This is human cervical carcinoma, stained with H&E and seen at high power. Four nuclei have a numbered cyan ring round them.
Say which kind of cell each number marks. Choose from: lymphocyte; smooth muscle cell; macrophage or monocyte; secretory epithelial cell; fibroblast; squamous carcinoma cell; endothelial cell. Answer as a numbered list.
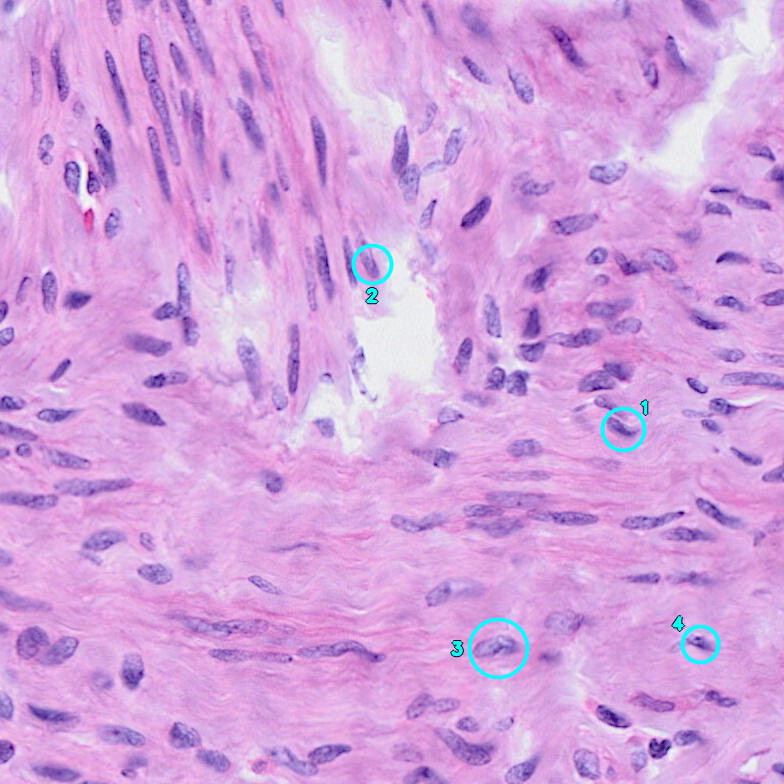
1. fibroblast
2. smooth muscle cell
3. smooth muscle cell
4. fibroblast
